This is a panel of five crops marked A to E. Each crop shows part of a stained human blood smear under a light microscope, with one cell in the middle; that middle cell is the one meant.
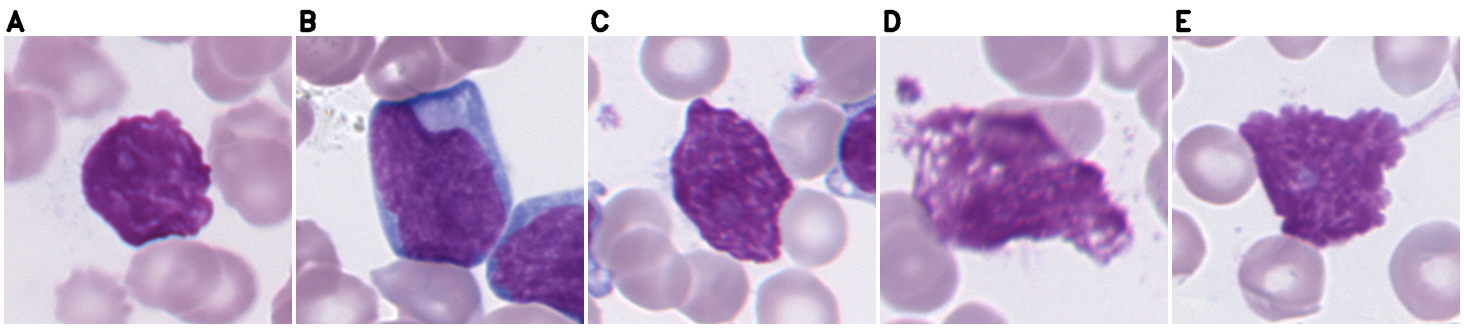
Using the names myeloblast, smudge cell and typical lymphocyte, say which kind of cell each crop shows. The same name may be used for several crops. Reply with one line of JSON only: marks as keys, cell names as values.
{"A": "smudge cell", "B": "myeloblast", "C": "smudge cell", "D": "smudge cell", "E": "smudge cell"}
